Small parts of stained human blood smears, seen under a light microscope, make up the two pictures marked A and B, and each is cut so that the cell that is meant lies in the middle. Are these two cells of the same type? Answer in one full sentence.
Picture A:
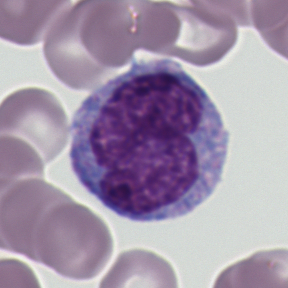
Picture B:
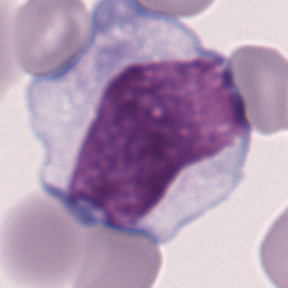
Yes, they are the same type: both are monocytes.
